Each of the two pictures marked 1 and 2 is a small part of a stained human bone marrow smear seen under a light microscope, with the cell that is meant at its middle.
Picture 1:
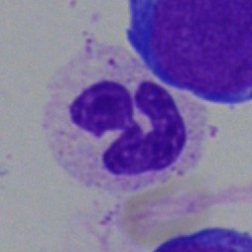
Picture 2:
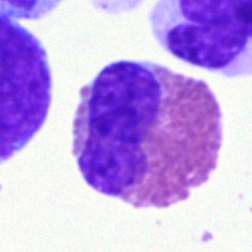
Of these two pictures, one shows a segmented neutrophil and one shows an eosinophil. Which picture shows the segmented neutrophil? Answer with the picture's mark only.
1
